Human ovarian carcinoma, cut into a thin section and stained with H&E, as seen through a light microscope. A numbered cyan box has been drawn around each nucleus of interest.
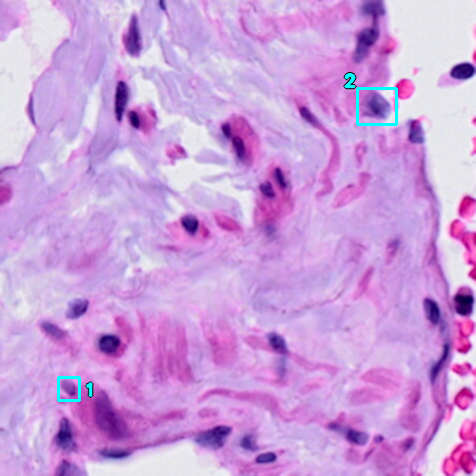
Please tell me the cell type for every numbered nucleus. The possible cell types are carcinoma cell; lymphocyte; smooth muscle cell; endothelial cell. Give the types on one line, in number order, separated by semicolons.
smooth muscle cell; endothelial cell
